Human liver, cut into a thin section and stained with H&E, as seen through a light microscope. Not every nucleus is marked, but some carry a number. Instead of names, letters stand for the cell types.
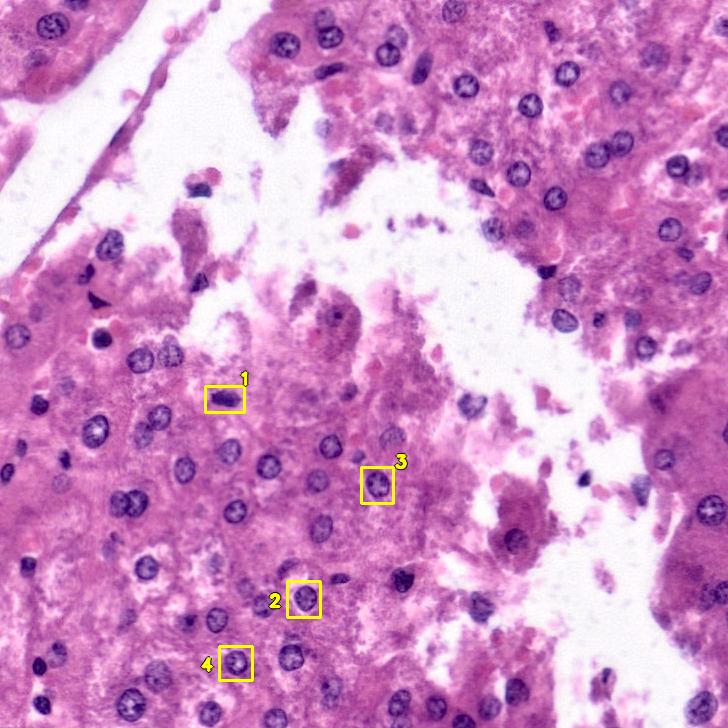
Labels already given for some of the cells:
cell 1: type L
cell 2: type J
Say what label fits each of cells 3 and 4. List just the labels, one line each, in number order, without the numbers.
type J
type J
